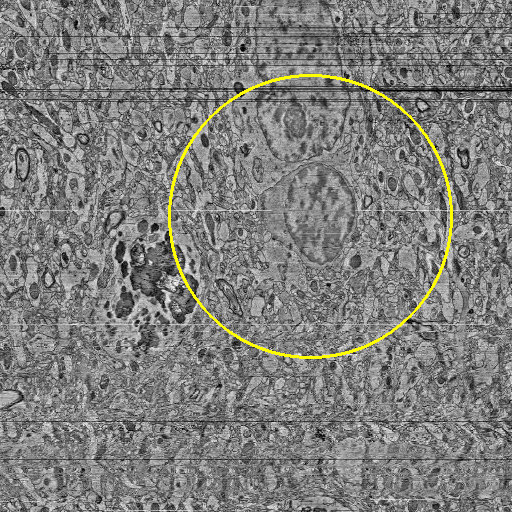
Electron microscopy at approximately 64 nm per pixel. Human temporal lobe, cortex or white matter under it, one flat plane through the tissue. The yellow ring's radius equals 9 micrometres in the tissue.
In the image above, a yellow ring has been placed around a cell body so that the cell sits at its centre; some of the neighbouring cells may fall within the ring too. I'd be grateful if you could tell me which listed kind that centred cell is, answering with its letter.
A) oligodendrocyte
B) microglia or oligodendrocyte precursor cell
A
